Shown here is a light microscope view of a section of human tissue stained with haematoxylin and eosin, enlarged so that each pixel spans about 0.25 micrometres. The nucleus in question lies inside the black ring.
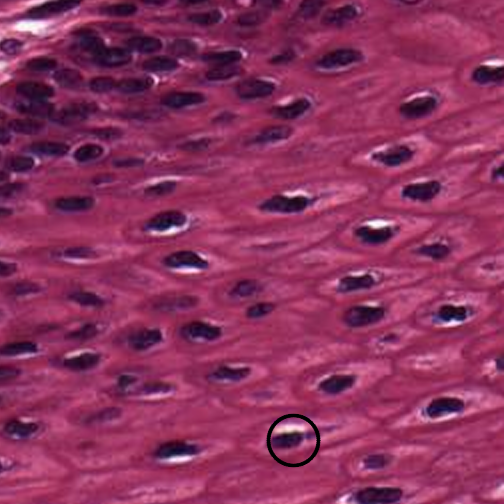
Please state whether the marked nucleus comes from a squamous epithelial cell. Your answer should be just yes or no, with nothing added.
yes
